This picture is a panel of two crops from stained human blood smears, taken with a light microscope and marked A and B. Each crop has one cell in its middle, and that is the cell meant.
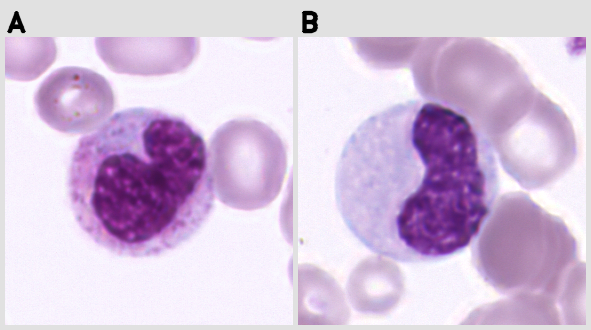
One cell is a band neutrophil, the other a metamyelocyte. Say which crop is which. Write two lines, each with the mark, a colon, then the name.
A: band neutrophil
B: metamyelocyte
